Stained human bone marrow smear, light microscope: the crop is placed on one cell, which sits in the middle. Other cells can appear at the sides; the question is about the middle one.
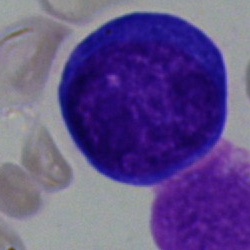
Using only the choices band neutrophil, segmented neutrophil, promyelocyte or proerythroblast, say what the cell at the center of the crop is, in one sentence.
The cell featured at the centre of this crop is a proerythroblast.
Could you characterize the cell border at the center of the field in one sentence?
Happy to help: the outline is smooth and shows no projections.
